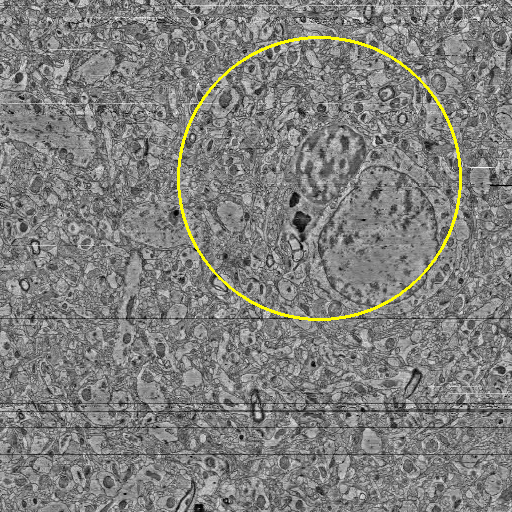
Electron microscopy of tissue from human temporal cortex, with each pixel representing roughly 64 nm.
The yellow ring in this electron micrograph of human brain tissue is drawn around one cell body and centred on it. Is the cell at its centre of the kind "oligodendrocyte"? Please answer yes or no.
yes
